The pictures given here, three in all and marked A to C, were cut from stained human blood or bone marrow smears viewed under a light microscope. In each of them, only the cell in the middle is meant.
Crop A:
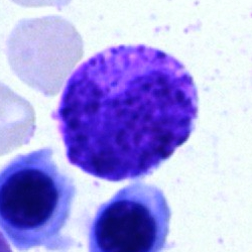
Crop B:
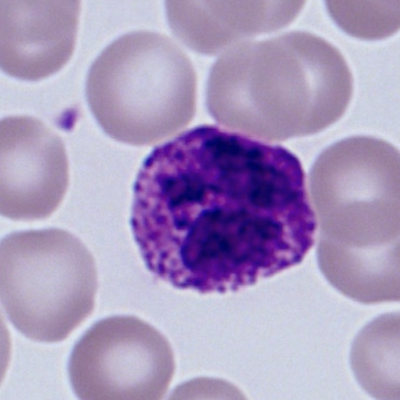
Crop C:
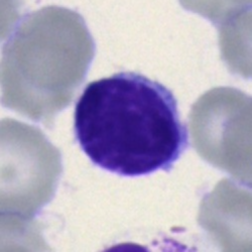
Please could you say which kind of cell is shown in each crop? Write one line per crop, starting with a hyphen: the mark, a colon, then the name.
- A: basophil
- B: basophil
- C: lymphocyte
